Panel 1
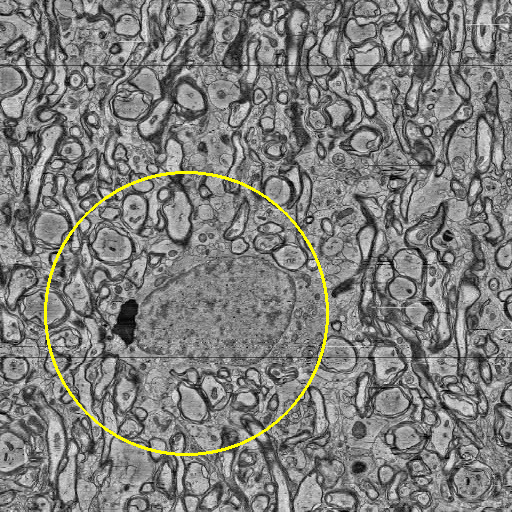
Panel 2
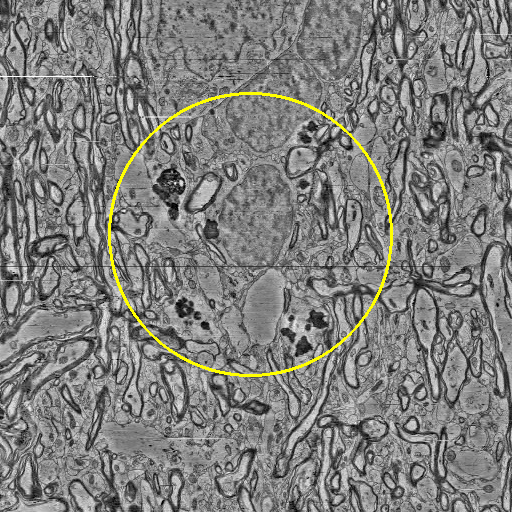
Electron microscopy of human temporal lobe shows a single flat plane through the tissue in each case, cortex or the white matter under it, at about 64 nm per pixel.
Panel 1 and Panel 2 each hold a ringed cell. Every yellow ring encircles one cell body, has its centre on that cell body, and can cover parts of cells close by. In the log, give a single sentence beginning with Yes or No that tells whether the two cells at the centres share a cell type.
Yes, in Panel 1 and Panel 2 the centred cells share a cell type.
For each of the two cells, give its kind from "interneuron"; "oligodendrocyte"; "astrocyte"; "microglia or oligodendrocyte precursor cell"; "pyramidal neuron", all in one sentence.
Each one of the two ringed cells is an oligodendrocyte.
